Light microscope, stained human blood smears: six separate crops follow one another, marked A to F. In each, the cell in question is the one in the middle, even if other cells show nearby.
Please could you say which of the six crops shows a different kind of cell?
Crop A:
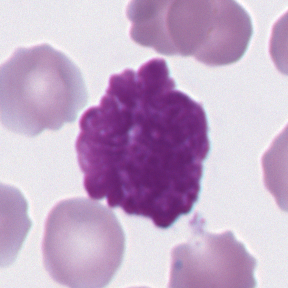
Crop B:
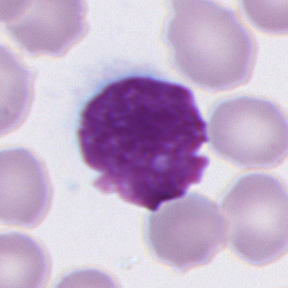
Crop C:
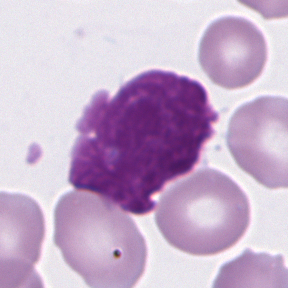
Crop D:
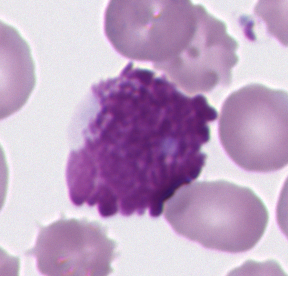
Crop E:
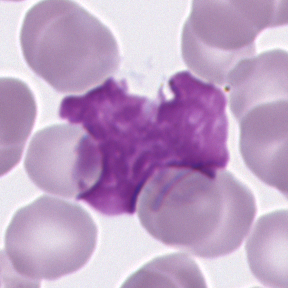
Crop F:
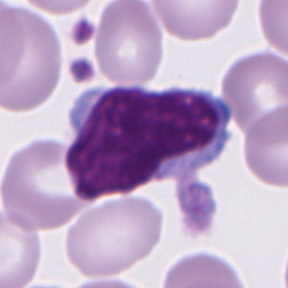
F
